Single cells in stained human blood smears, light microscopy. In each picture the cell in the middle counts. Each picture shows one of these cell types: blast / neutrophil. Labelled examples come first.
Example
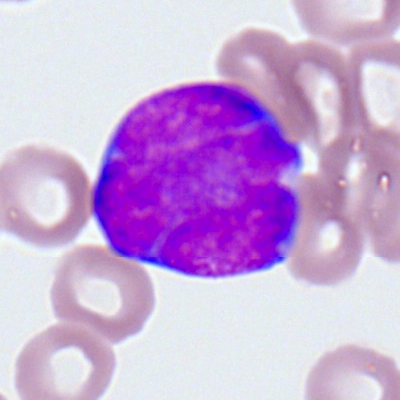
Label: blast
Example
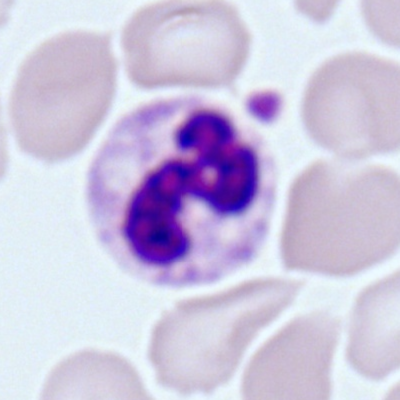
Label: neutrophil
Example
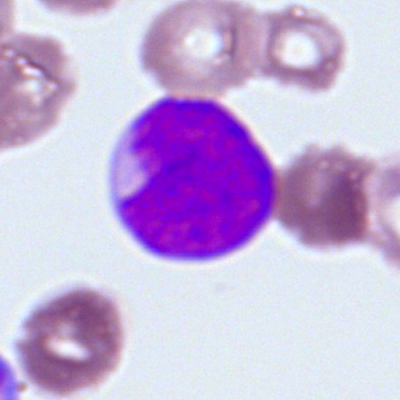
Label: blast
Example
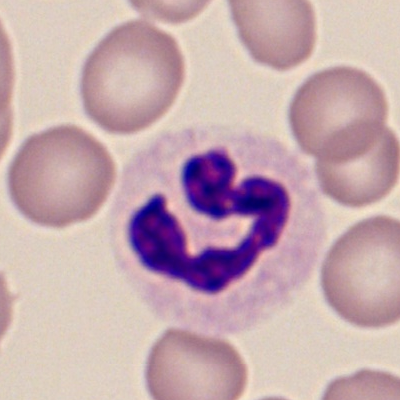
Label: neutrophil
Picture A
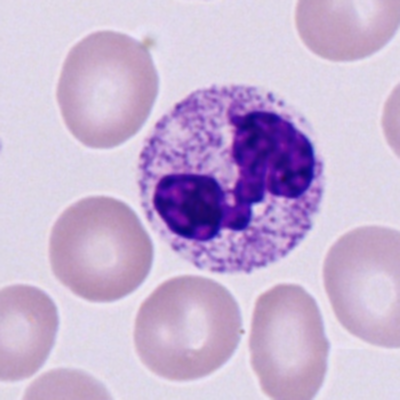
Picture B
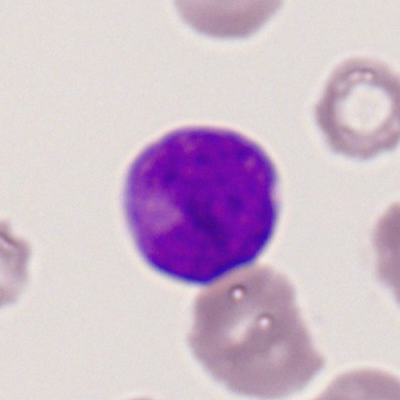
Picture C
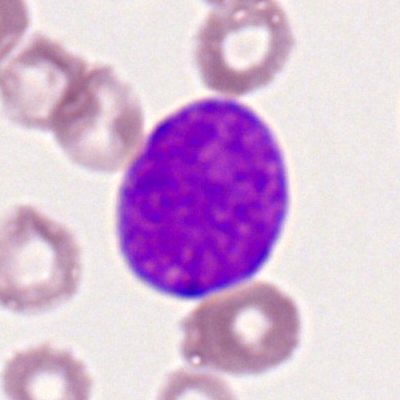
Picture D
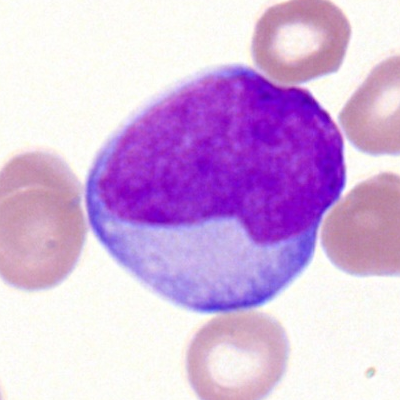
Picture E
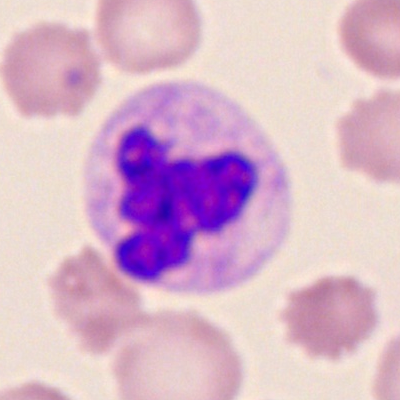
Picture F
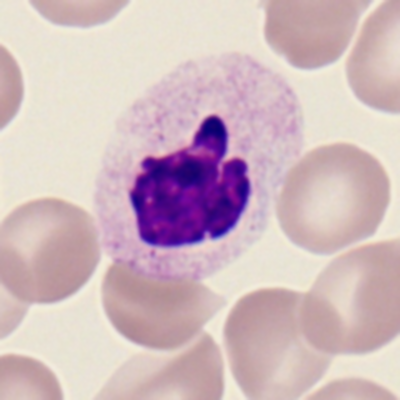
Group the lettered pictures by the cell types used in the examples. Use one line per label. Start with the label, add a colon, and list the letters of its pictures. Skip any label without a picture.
blast: B, C, D
neutrophil: A, E, F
